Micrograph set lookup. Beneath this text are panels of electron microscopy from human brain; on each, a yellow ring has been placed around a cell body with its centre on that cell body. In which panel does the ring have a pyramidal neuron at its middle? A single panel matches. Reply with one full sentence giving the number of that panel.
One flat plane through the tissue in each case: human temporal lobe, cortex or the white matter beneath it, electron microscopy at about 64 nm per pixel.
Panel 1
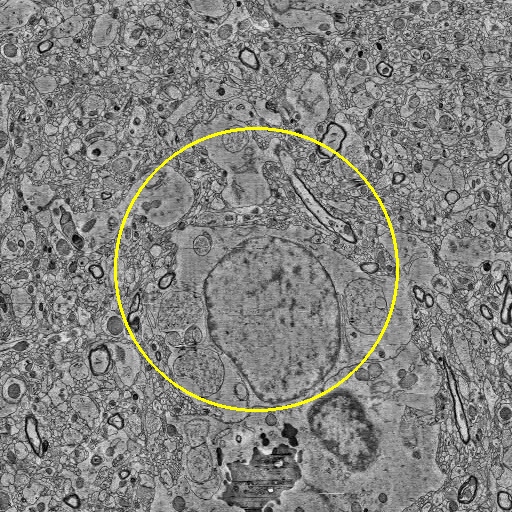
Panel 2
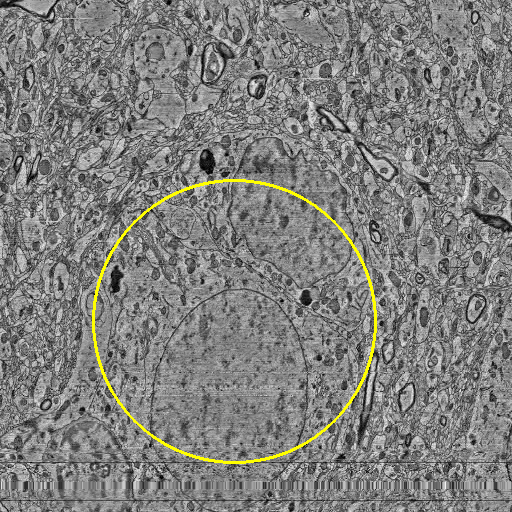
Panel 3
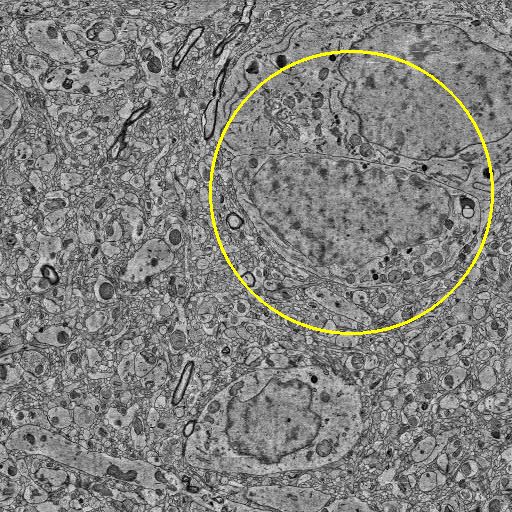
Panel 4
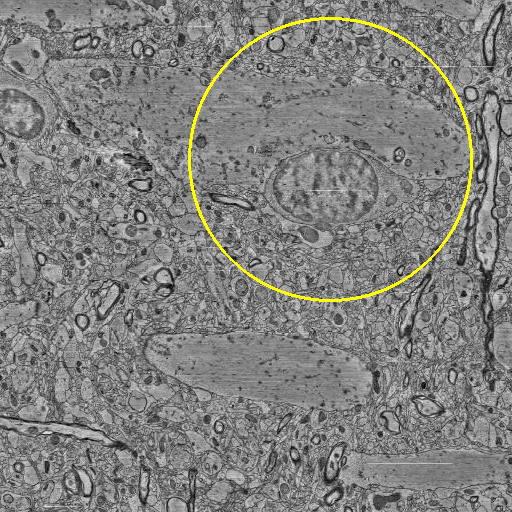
Panel 2 is the one whose ring has the sought cell at its centre.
